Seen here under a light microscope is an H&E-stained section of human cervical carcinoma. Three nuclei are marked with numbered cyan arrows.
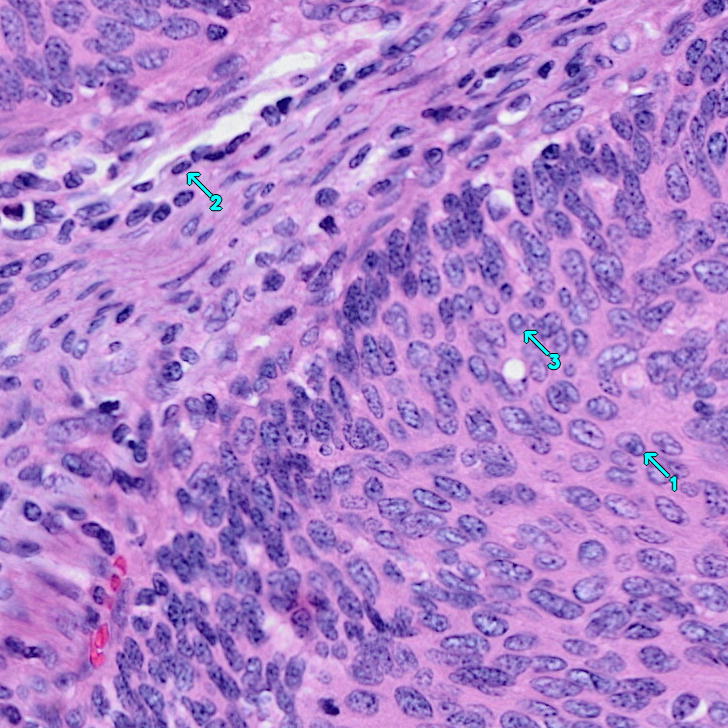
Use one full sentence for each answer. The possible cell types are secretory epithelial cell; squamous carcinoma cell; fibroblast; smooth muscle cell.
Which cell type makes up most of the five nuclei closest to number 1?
Of the five nuclei nearest to number 1, most belong to squamous carcinoma cells.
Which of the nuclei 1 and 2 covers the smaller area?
The smaller nucleus is 2, and 1 covers roughly 1.5 times its area.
